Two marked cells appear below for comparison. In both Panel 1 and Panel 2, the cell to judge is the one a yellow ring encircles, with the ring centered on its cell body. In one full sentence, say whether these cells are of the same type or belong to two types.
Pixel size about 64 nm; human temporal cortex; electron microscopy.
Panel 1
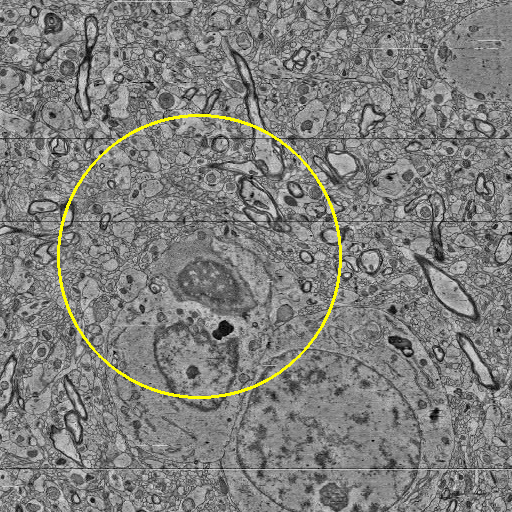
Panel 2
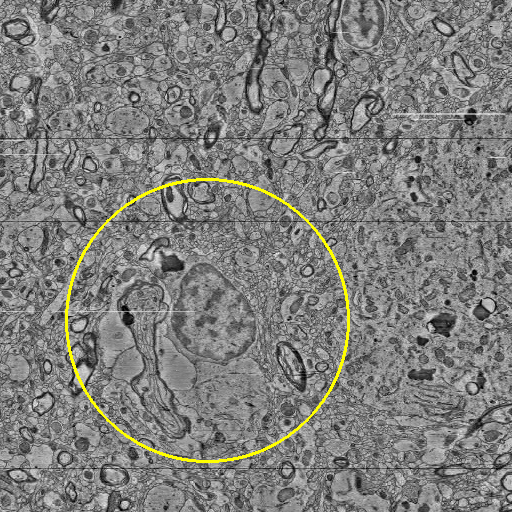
The cell centered in the Panel 1 ring and the one in Panel 2 are of the same type.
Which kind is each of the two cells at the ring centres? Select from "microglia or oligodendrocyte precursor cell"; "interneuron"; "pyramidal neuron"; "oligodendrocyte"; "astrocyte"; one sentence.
Each of the two rings surrounds an oligodendrocyte.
